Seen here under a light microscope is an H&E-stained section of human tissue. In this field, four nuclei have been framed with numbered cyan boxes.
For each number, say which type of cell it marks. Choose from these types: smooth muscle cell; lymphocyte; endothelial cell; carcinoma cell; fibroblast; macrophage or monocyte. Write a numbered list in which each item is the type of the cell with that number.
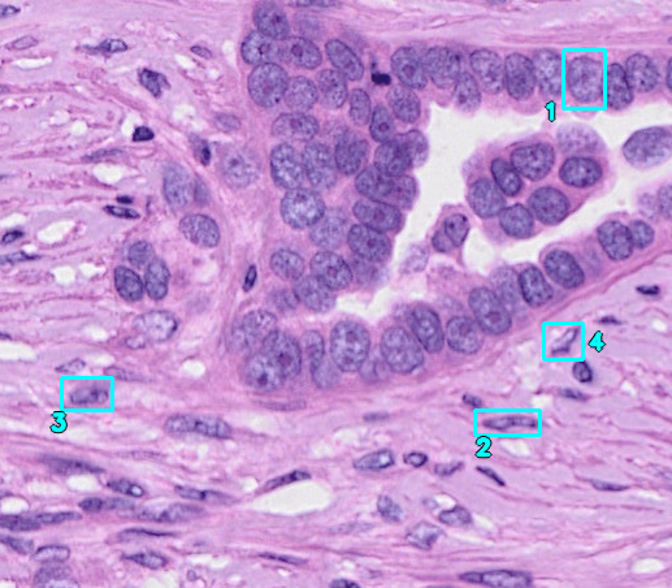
1. carcinoma cell
2. fibroblast
3. fibroblast
4. fibroblast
